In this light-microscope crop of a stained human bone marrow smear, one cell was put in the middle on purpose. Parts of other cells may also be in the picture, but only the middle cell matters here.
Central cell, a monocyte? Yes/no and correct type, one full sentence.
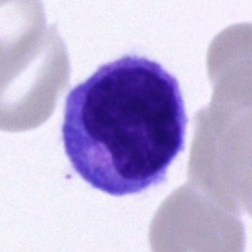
Yes, the centered cell in this field is a monocyte.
